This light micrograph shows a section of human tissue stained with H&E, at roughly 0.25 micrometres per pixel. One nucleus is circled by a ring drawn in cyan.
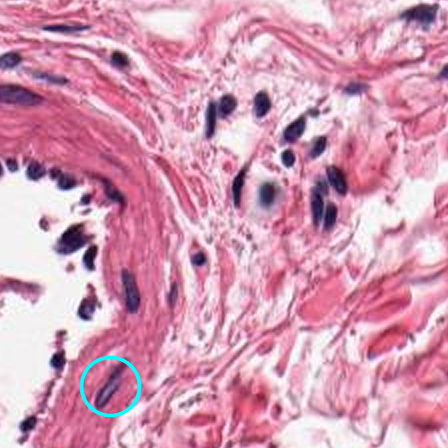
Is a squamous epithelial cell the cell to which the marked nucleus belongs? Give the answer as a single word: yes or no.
no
